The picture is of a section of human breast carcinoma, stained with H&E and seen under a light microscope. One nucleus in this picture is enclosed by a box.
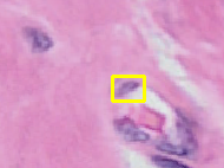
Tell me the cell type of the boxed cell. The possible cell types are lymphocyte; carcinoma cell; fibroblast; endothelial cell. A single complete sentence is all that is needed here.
In this preparation, the boxed cell is an endothelial cell.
